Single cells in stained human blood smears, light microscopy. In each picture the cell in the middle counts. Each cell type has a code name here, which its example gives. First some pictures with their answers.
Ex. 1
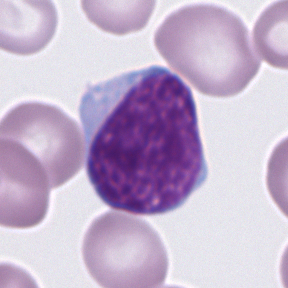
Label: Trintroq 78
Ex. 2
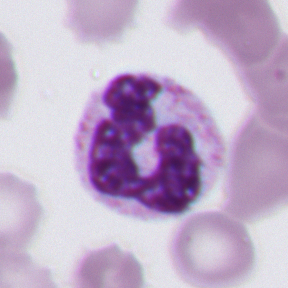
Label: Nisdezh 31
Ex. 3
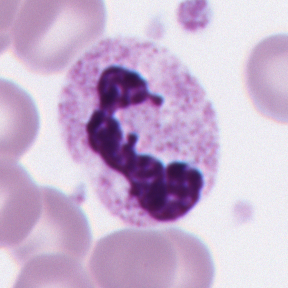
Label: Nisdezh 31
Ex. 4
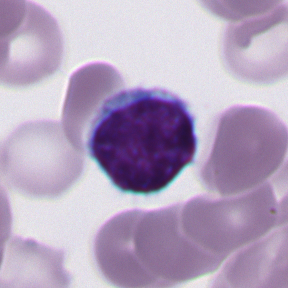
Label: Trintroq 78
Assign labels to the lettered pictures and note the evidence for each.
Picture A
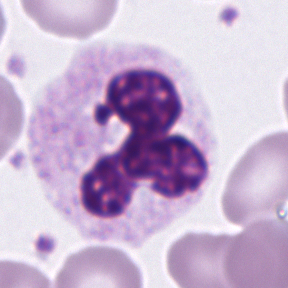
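Nisdezh 31: The nucleus is divided into three joined lobes.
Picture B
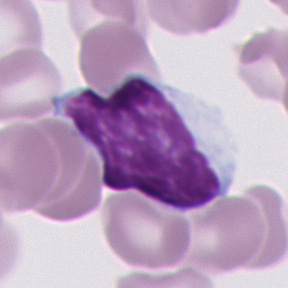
Trintroq 78: The cytoplasm is scant and lies mainly on the right side of the nucleus.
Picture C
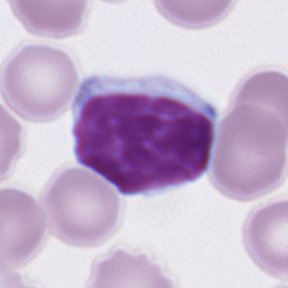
Trintroq 78: The cytoplasm forms a narrow rim that is widest along the upper edge of the cell.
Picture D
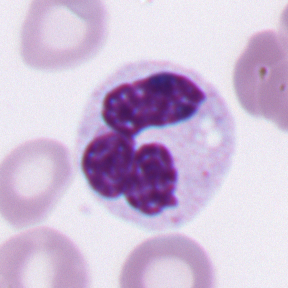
Nisdezh 31: The nucleus is divided into three lobes.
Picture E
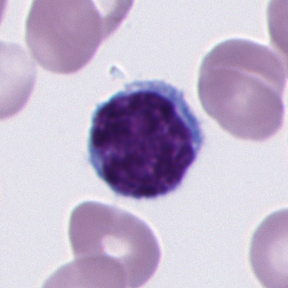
Trintroq 78: The cytoplasm forms only a thin rim around the nucleus.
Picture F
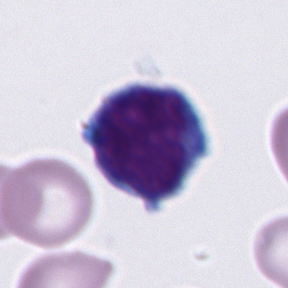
Trintroq 78: Only a very thin rim of cytoplasm shows beside the nucleus.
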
